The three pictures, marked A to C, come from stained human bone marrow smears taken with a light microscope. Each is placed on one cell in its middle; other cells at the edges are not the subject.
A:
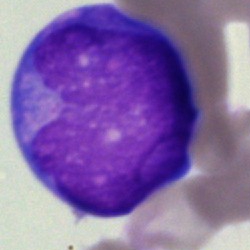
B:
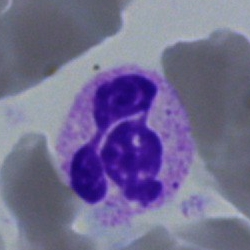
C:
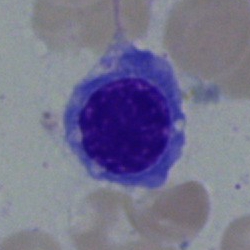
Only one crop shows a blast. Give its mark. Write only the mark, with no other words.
A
